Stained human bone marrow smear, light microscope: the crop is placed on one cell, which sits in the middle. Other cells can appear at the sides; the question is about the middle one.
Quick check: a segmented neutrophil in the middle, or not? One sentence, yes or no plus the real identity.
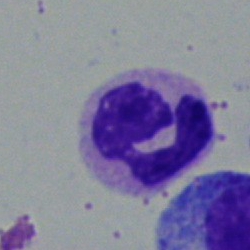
Yes, the cell of interest in the centre is a segmented neutrophil.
